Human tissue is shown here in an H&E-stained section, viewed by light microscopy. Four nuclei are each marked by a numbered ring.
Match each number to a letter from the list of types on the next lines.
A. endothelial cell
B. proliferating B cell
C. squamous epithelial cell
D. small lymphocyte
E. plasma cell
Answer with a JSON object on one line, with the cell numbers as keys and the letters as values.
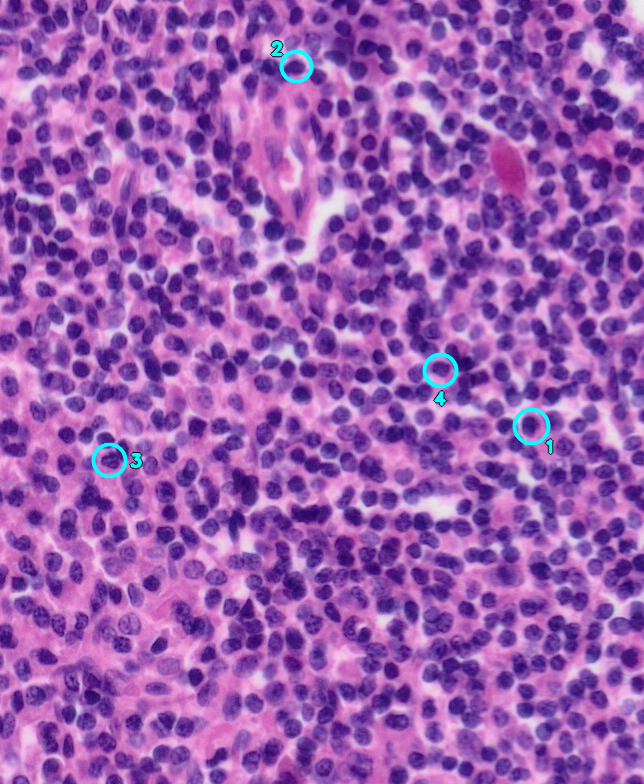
{"1": "D", "2": "D", "3": "E", "4": "D"}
